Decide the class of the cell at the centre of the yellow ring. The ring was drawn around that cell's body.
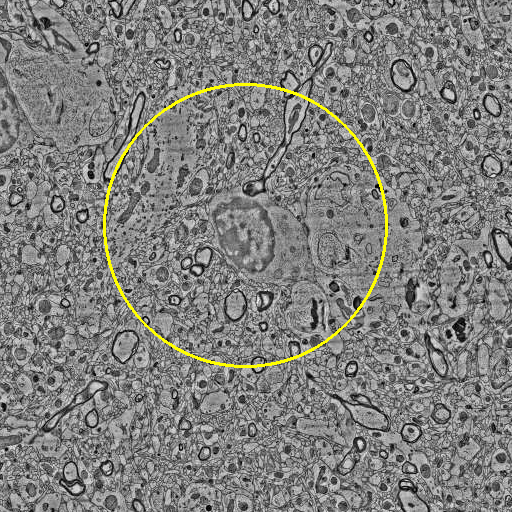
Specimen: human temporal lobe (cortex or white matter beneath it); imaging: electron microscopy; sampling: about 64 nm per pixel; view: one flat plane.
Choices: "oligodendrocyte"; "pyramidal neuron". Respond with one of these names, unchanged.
oligodendrocyte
